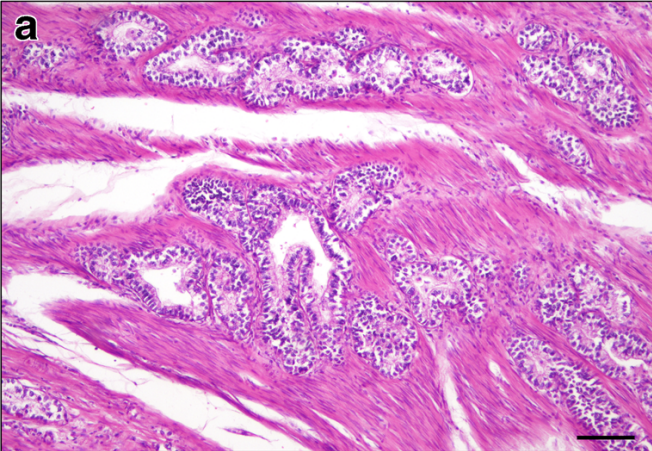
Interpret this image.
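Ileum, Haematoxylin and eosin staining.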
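Glands of a glandular type cancer lie among the pink muscle fibres of the muscularis propria. The glands are lined by crowded columnar cells with dark, stratified nuclei around open or slit-like lumina, and they sit in rows between long eosinophilic spindle-cell bundles separated by empty clefts.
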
